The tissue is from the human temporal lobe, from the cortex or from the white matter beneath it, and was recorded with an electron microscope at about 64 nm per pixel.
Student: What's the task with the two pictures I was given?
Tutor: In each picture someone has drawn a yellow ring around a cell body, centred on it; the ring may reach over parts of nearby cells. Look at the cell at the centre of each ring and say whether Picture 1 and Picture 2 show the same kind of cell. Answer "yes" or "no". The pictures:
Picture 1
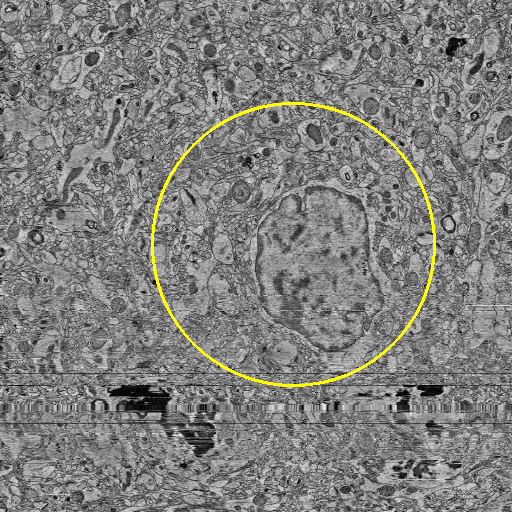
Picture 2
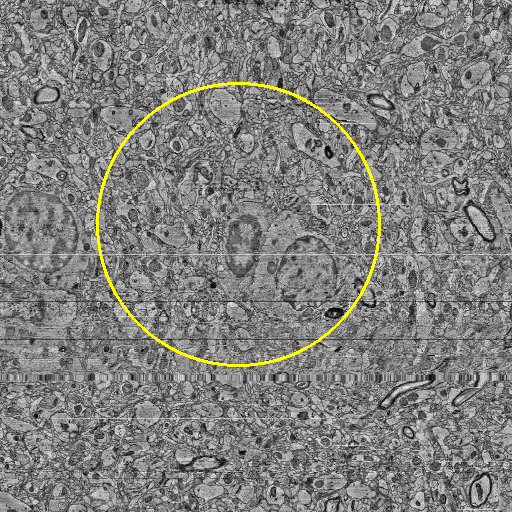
no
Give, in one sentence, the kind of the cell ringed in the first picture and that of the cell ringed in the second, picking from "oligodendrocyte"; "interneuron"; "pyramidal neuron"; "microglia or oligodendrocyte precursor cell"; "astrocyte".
For the first picture it is a microglial cell or oligodendrocyte precursor cell; for the second, an oligodendrocyte.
